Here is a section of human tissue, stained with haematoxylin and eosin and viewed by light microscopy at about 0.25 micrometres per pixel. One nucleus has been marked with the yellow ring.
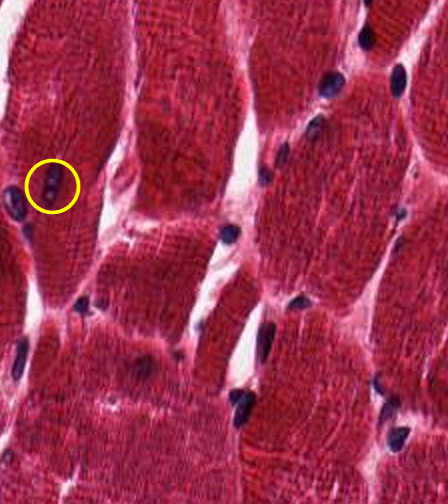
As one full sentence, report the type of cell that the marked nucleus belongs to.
Marked in this picture is the nucleus of a skeletal muscle fibre.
